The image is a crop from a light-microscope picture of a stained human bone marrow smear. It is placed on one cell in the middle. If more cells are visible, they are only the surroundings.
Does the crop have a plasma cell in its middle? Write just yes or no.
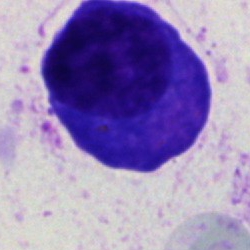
yes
